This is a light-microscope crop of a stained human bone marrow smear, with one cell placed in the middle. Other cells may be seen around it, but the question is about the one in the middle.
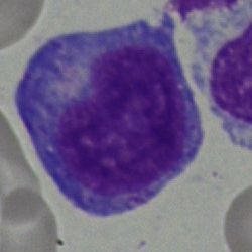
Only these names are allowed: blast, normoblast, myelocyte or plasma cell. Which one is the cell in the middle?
blast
